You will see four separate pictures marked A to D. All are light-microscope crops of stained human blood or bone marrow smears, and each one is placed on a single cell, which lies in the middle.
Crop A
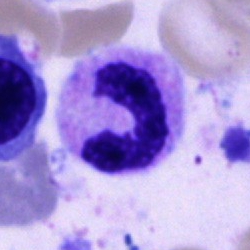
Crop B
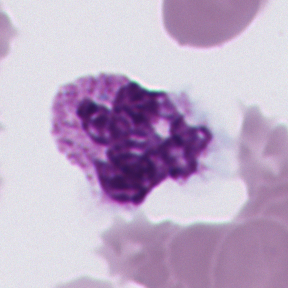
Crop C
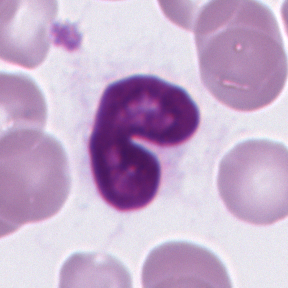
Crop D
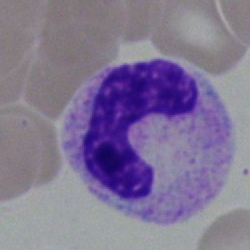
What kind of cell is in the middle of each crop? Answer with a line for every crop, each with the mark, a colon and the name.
A: band neutrophil
B: segmented neutrophil
C: segmented neutrophil
D: band neutrophil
